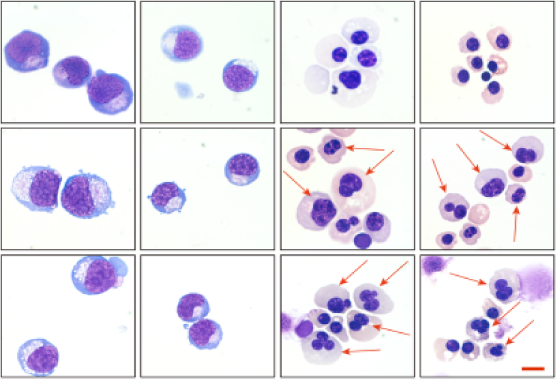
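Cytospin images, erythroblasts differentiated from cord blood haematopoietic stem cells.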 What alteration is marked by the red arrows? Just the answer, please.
Abnormal nucleus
